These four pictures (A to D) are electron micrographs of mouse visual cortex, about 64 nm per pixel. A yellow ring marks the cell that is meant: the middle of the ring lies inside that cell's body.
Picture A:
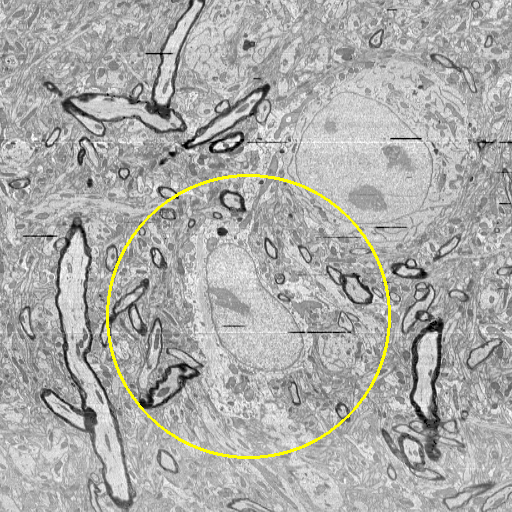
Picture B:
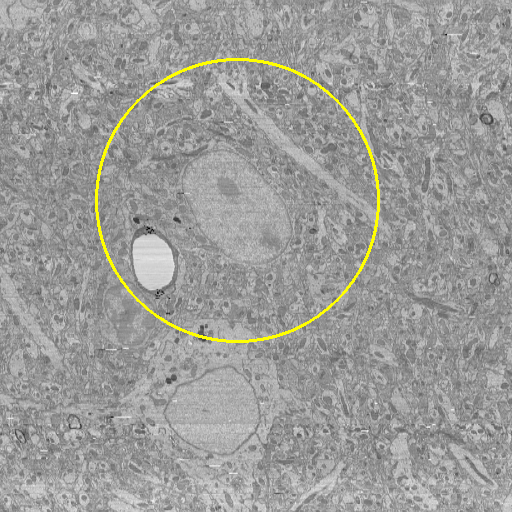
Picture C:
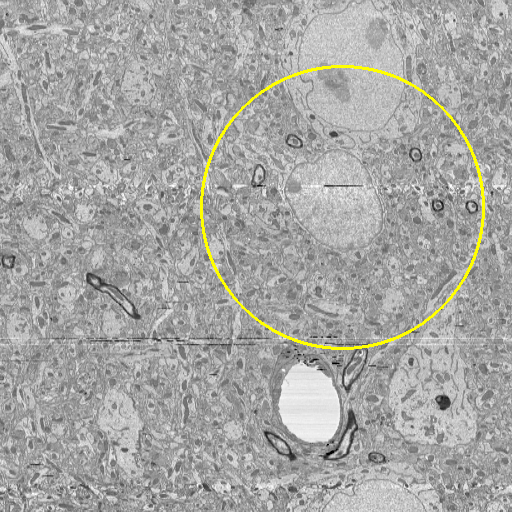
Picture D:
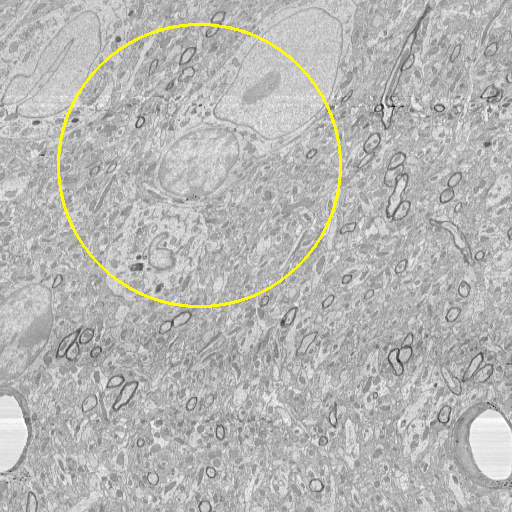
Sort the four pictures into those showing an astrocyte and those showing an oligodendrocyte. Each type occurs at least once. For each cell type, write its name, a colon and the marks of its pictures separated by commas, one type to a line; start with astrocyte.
astrocyte: A, B, C
oligodendrocyte: D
